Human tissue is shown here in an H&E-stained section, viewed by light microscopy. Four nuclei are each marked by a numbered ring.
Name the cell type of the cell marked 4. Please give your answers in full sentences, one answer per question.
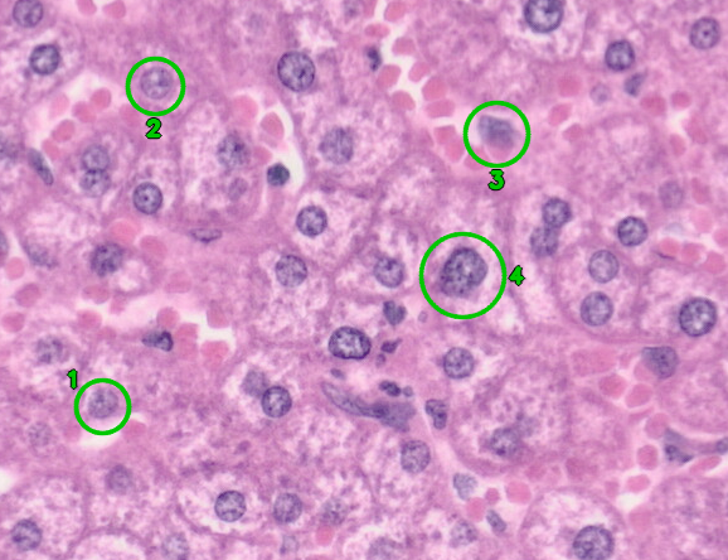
The cell that bears the number 4 is a hepatocyte.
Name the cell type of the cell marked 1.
It is as a hepatocyte that the cell numbered 1 is identified.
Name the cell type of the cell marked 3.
Here the cell numbered 3 is an endothelial cell.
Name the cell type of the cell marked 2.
Of the numbered cells, the one labelled 2 is a hepatocyte.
